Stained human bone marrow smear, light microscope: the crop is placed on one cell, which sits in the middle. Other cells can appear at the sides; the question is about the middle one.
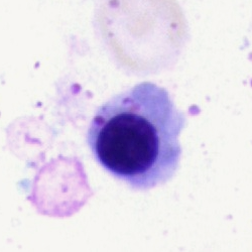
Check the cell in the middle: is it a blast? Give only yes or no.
no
